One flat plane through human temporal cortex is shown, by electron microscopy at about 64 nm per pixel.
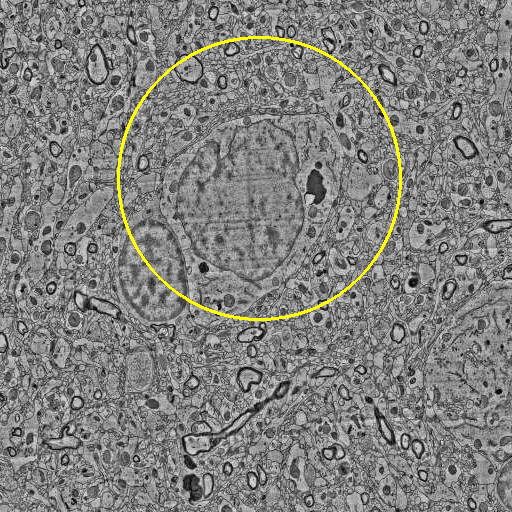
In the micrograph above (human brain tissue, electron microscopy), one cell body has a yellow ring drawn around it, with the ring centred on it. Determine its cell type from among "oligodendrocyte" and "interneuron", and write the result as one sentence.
The cell whose body is ringed is an interneuron.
